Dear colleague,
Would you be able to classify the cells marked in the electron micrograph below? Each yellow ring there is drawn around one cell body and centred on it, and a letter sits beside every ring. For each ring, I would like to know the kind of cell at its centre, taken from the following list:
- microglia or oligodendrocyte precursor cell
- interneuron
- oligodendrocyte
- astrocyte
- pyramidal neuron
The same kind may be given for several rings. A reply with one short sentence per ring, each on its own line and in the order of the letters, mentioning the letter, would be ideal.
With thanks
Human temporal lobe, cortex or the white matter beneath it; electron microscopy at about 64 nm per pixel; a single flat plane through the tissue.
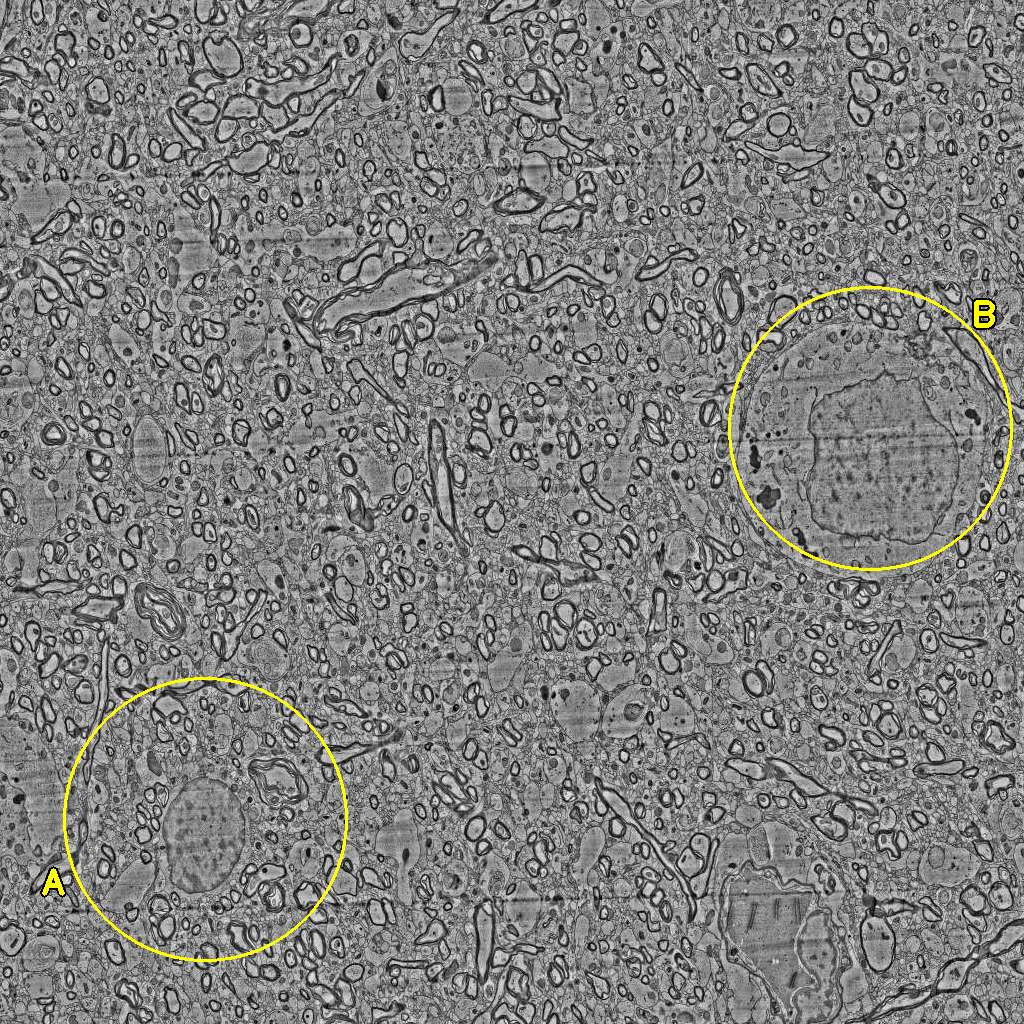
Ring A contains an oligodendrocyte at its centre.
Ring B contains a pyramidal neuron at its centre.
